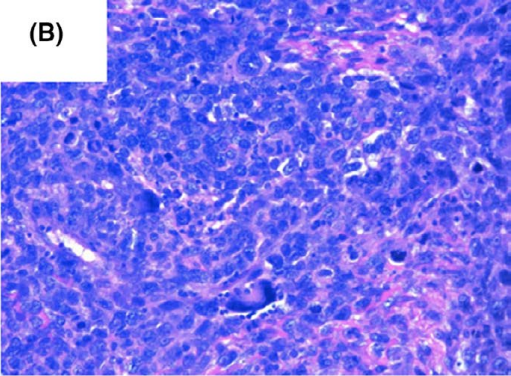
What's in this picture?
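This is a solid sheet of large, highly pleomorphic tumor cells with marked atypia. The nuclei are crowded and vary greatly in size and shape, with several enlarged, dark, bizarre nuclei standing out among the rest. Cytoplasm is scant to moderate and pale pink, and there are no glands or other organised structures, only thin strands of pink stroma and a few small clefts.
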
